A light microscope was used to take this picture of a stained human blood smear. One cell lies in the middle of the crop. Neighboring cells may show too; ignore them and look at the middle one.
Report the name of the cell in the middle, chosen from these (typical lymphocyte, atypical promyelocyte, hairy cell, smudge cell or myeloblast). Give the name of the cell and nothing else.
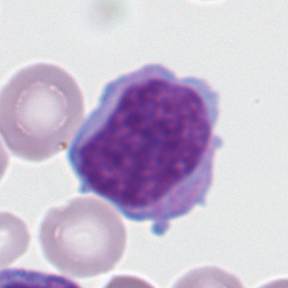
atypical promyelocyte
